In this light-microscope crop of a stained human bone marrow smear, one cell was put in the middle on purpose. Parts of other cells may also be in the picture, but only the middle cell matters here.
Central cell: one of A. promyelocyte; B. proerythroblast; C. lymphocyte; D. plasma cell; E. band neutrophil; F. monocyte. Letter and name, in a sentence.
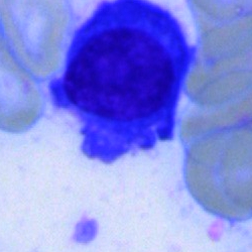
For this crop, option D is right, the centered cell being a plasma cell.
